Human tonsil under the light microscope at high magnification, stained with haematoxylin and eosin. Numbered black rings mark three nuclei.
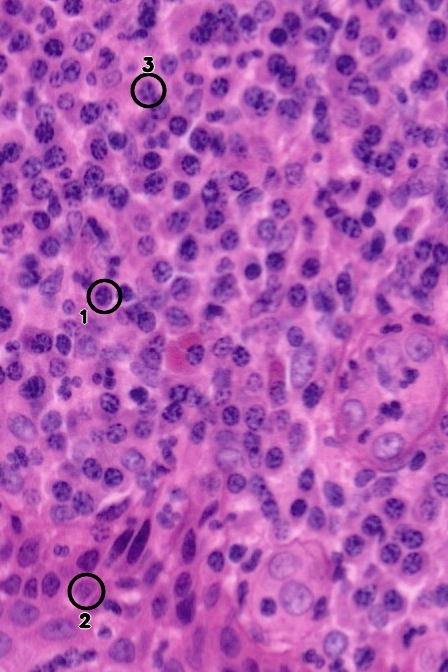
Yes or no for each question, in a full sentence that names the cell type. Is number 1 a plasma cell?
Yes, the cell given number 1 is a plasma cell.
